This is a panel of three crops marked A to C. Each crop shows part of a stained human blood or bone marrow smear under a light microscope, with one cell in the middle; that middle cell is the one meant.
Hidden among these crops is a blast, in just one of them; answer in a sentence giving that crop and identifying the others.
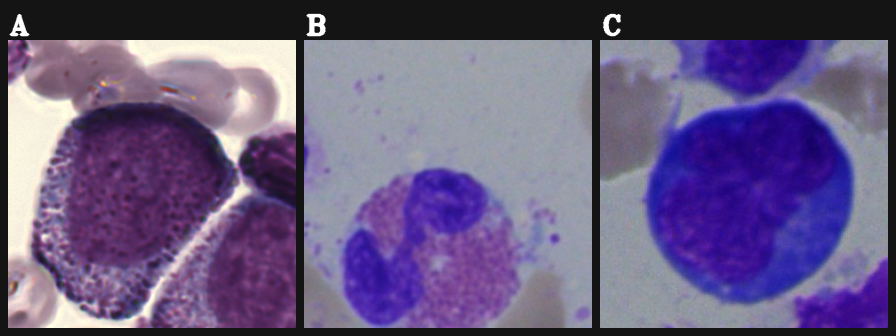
Crop C is identified as a blast, while crop A is a promyelocyte and crop B is an eosinophil.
